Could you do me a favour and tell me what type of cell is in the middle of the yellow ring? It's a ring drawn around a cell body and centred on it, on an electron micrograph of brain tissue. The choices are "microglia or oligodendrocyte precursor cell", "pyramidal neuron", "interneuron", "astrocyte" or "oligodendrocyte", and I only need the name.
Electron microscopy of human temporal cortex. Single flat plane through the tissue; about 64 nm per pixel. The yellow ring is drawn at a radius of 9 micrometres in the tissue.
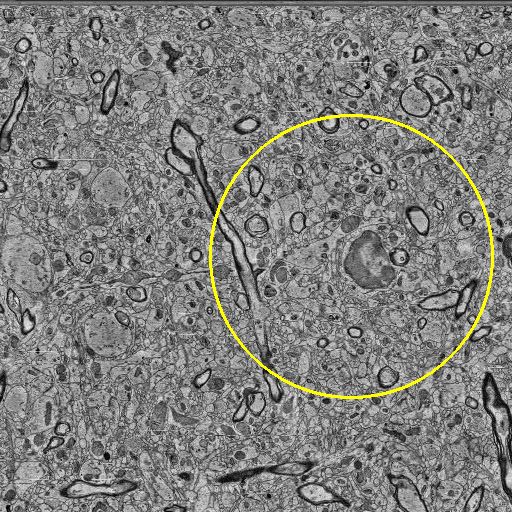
microglia or oligodendrocyte precursor cell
